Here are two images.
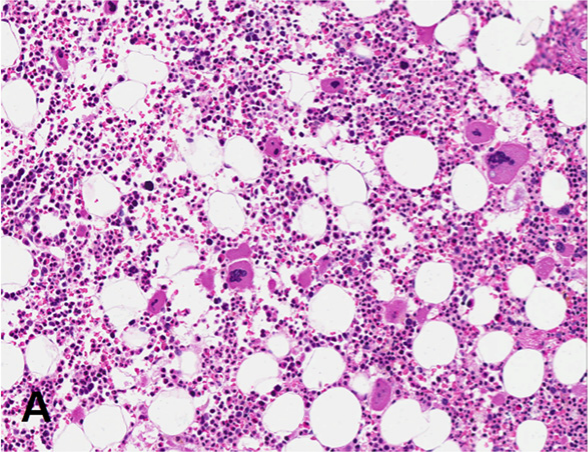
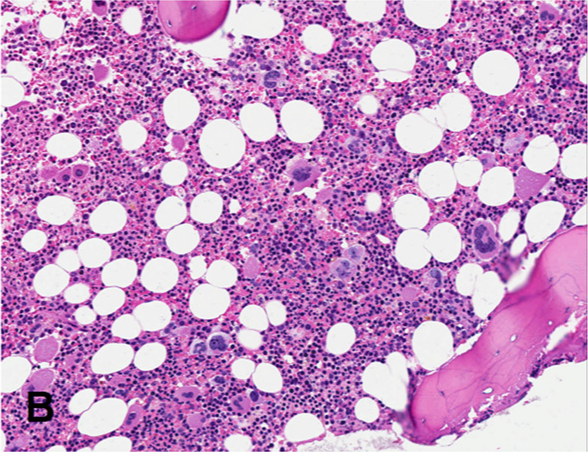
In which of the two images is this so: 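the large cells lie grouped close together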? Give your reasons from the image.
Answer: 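First image: the large cells are scattered singly across the marrow. The answer: the second image.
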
